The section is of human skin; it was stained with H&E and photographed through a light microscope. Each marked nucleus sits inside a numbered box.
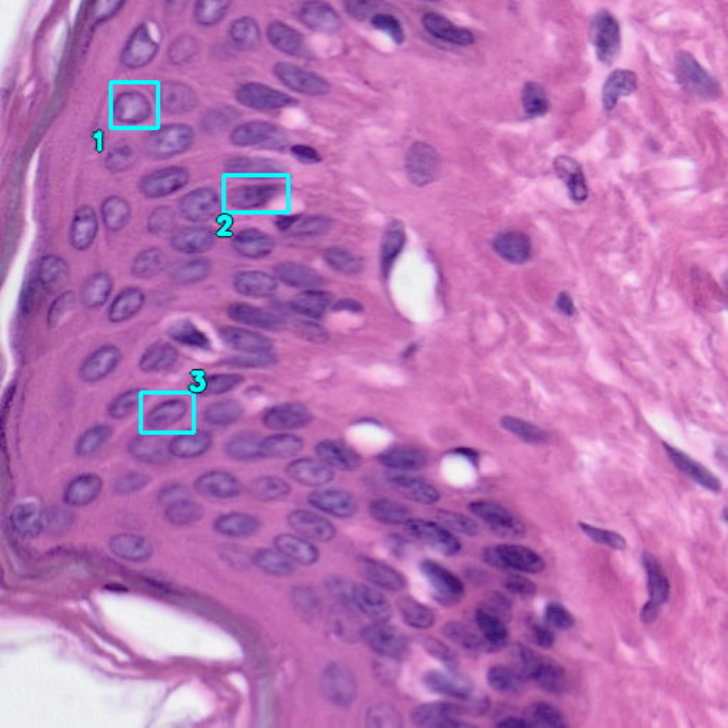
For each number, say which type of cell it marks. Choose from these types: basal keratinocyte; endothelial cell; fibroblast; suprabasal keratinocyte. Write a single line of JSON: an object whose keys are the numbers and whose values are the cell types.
{"1": "suprabasal keratinocyte", "2": "basal keratinocyte", "3": "suprabasal keratinocyte"}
